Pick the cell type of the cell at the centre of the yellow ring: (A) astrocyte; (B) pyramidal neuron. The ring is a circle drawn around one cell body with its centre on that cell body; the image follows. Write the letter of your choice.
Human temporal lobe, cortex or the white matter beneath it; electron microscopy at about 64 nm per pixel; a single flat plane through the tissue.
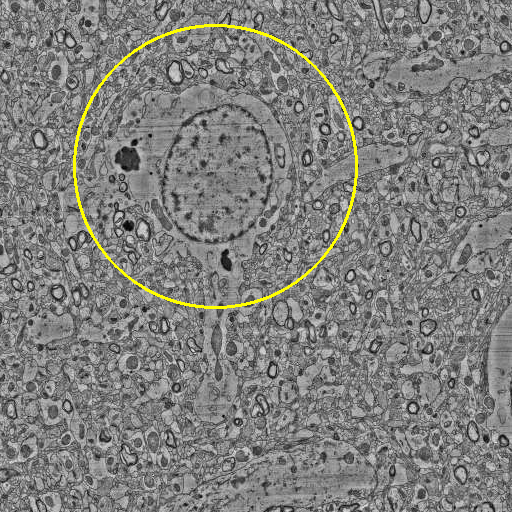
A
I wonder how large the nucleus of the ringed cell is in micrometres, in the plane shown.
In this plane, roughly 9 by 7 micrometres.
